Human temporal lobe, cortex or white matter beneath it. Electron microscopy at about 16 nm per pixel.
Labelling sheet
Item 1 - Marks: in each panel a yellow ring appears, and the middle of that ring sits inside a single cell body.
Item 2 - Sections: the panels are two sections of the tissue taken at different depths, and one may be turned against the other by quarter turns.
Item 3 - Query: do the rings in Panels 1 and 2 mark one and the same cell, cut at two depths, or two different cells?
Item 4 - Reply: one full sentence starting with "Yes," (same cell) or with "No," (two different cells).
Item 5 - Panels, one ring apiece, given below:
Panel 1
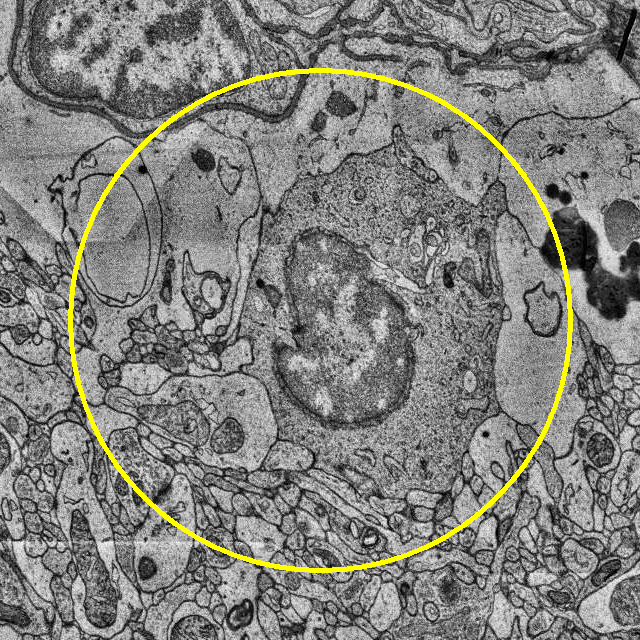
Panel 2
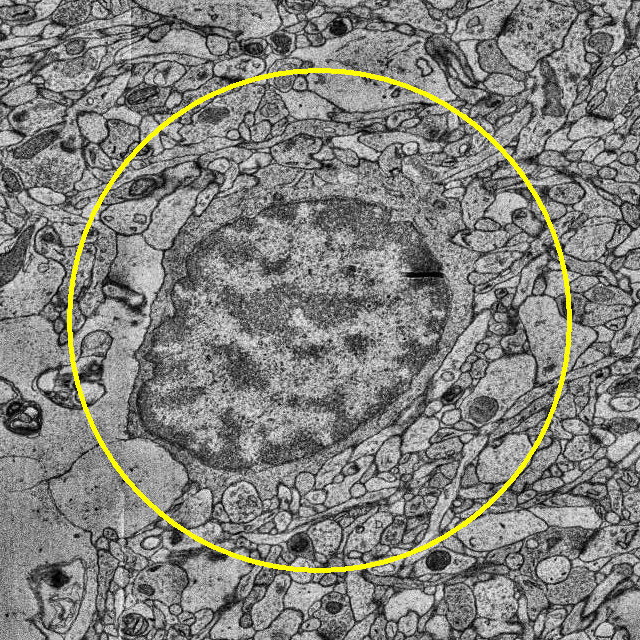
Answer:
No, the marked cells are two, not one.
